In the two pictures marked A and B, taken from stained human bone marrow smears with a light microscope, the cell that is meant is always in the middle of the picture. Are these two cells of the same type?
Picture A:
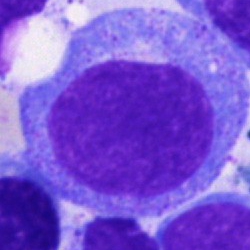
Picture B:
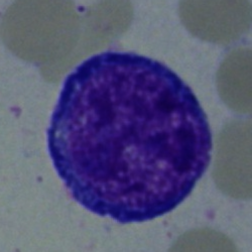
no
